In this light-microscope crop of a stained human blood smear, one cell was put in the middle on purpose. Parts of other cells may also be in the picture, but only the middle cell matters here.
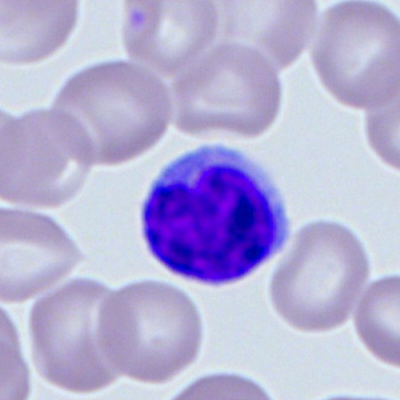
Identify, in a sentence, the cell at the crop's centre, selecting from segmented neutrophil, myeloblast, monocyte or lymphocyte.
As for the central cell, it is a lymphocyte.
